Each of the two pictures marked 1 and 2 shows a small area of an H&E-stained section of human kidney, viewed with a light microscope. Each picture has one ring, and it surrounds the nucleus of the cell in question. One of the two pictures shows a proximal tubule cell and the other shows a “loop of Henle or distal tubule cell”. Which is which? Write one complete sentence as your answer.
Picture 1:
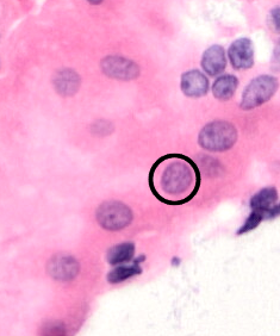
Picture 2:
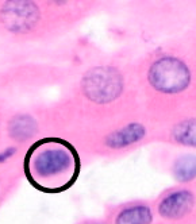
Picture 1 is of a proximal tubule cell, and picture 2 is of a “loop of Henle or distal tubule cell”.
